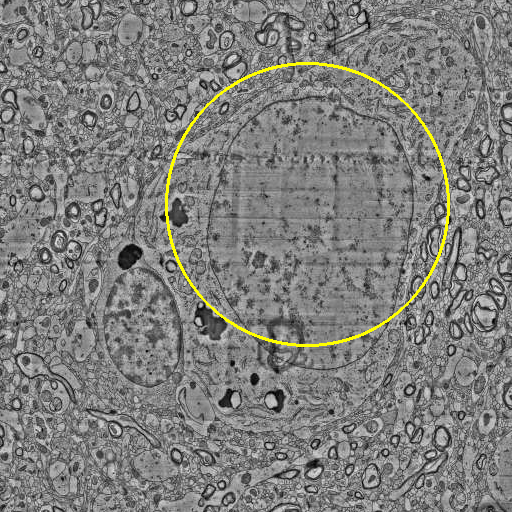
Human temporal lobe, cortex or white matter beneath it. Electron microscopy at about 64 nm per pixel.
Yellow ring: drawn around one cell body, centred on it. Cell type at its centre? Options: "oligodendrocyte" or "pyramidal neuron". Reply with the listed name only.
pyramidal neuron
